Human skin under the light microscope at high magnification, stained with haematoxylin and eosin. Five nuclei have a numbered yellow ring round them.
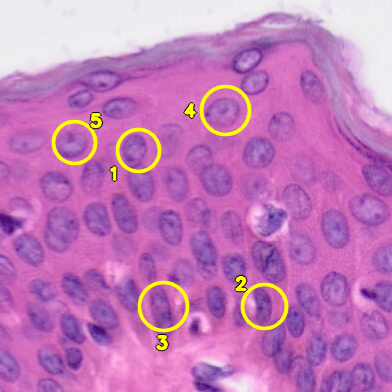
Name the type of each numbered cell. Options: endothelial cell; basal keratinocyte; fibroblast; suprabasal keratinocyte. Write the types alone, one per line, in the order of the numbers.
suprabasal keratinocyte
basal keratinocyte
basal keratinocyte
suprabasal keratinocyte
suprabasal keratinocyte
